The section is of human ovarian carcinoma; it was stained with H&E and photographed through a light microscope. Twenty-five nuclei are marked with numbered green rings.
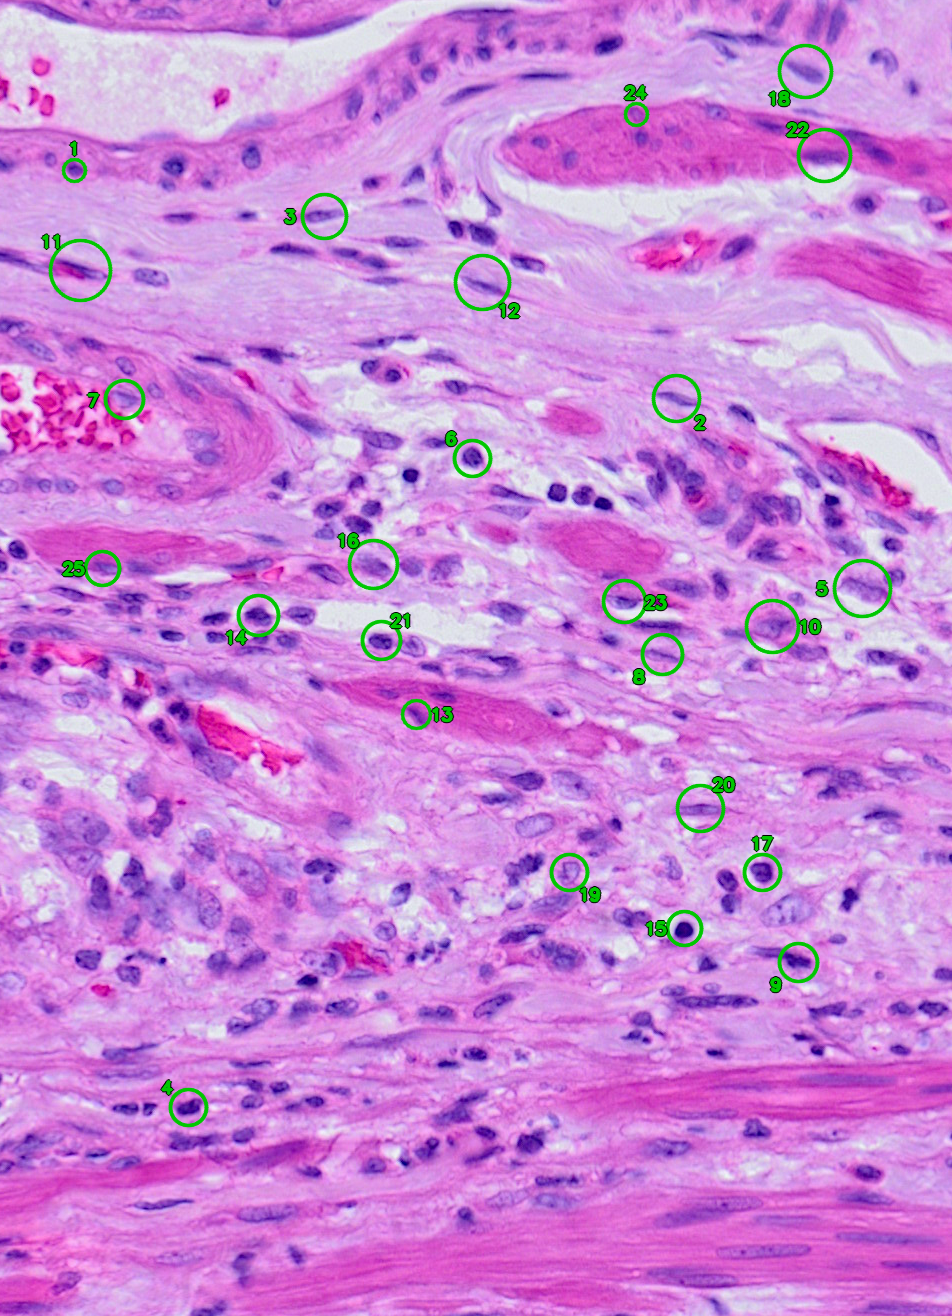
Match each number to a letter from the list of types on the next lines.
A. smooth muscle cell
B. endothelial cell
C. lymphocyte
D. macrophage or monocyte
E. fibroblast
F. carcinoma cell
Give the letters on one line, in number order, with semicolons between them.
A; E; E; C; E; C; B; E; C; B; B; E; A; C; C; E; C; E; D; E; C; A; B; A; A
